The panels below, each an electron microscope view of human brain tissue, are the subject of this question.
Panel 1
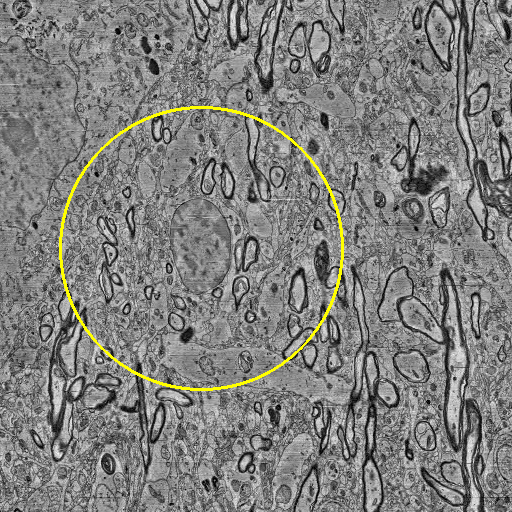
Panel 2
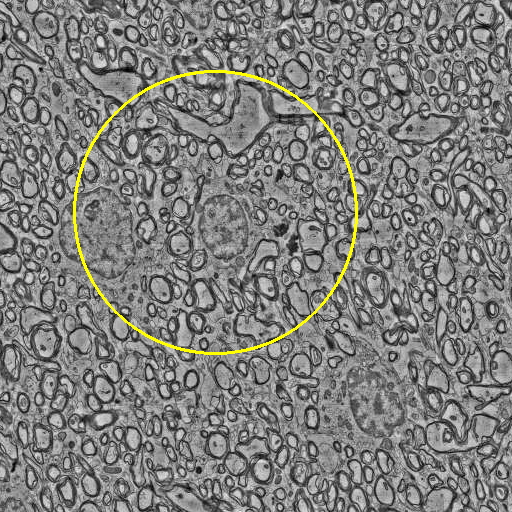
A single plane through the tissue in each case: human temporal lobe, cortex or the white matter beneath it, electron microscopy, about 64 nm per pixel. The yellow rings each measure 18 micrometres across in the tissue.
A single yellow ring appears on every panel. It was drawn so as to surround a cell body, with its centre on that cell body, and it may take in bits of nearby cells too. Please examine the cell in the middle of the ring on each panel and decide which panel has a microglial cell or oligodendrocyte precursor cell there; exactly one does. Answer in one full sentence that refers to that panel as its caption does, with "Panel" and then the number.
Panel 1 is where the ring's central cell answers the question.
